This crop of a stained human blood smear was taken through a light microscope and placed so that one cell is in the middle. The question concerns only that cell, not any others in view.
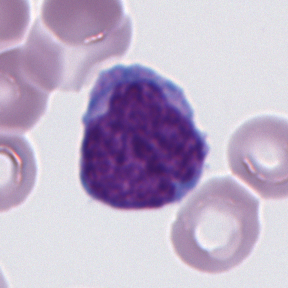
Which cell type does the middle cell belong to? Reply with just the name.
atypical promyelocyte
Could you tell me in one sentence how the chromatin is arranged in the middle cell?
You can see that its chromatin is coarsely clumped.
